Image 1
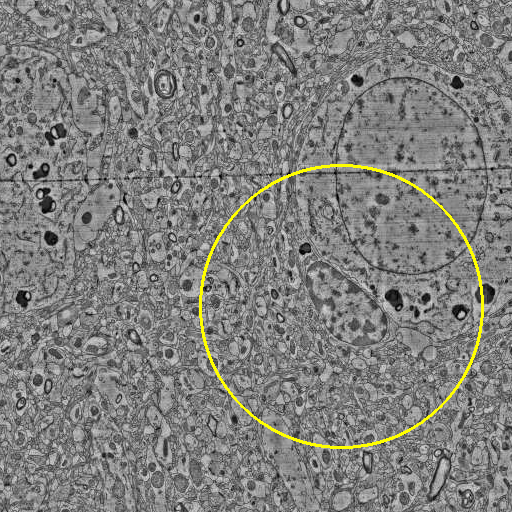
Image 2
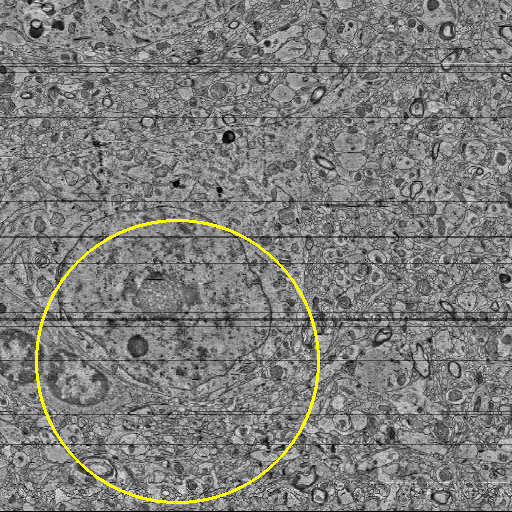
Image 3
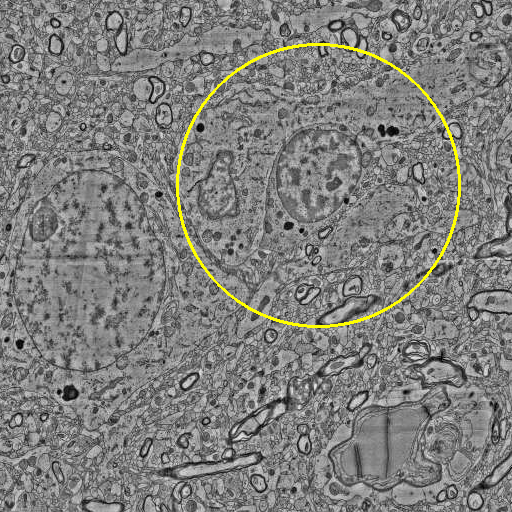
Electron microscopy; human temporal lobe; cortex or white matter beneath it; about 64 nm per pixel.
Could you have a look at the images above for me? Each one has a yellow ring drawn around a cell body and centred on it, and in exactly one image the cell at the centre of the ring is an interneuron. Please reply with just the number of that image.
2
